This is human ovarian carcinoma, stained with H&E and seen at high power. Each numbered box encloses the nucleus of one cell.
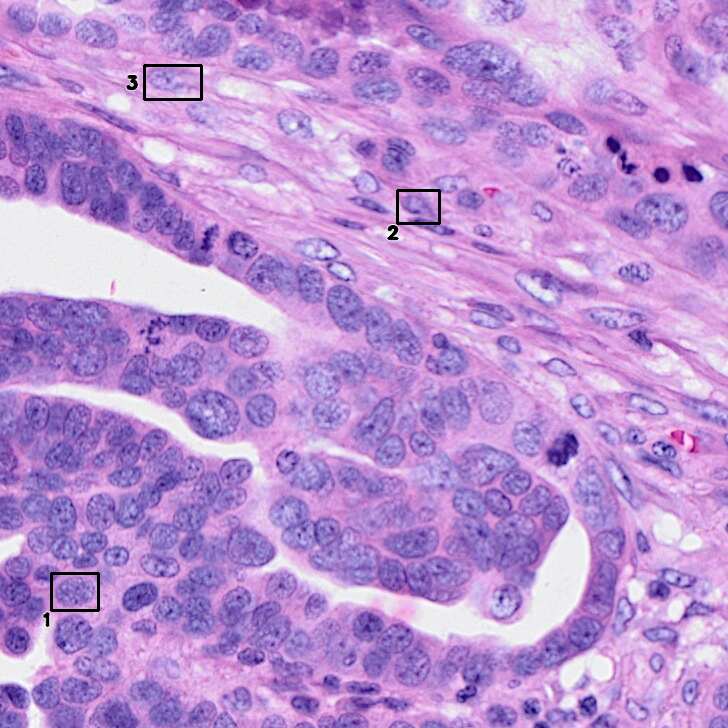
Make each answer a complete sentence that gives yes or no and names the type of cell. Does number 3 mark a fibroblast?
Yes, the cell given number 3 is a fibroblast.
